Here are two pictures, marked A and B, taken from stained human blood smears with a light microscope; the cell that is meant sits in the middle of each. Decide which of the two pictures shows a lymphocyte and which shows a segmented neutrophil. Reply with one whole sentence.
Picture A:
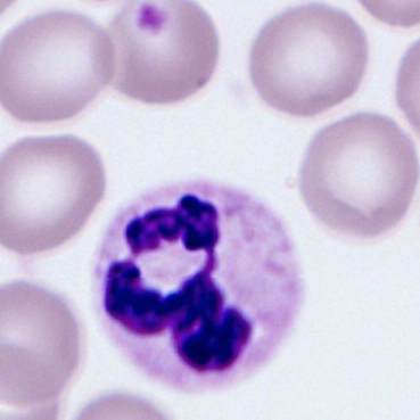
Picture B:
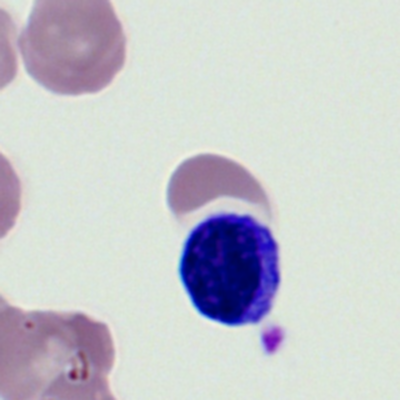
Picture A shows a segmented neutrophil and picture B shows a lymphocyte.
